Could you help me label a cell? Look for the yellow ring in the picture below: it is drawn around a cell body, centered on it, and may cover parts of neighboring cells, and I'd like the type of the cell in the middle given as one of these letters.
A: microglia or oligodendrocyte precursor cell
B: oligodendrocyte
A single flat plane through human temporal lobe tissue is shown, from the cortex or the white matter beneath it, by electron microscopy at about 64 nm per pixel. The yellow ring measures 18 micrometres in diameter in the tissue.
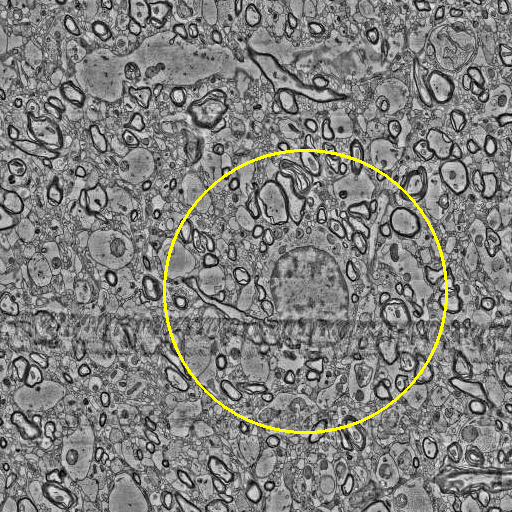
B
